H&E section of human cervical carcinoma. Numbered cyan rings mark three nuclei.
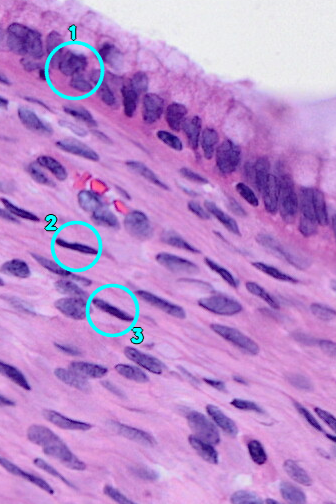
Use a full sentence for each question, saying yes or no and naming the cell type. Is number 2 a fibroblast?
Yes, the nucleus numbered 2 belongs to a fibroblast.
